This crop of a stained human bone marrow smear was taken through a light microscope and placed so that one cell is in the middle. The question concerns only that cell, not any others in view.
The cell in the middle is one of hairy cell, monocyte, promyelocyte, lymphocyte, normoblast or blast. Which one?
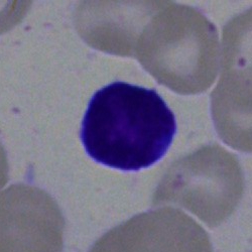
lymphocyte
